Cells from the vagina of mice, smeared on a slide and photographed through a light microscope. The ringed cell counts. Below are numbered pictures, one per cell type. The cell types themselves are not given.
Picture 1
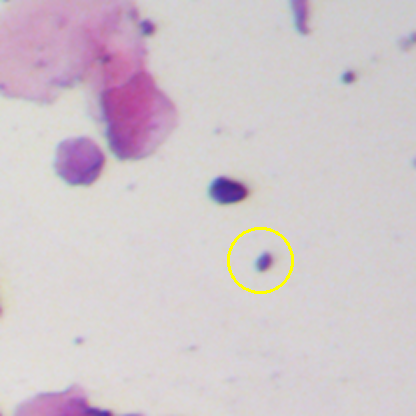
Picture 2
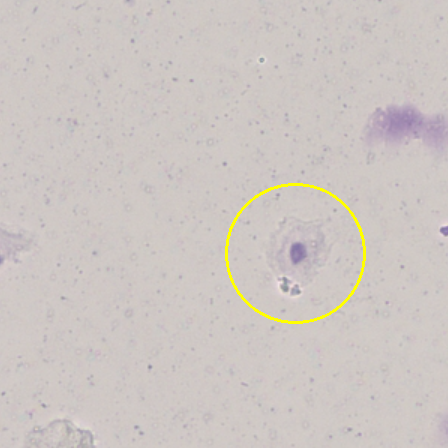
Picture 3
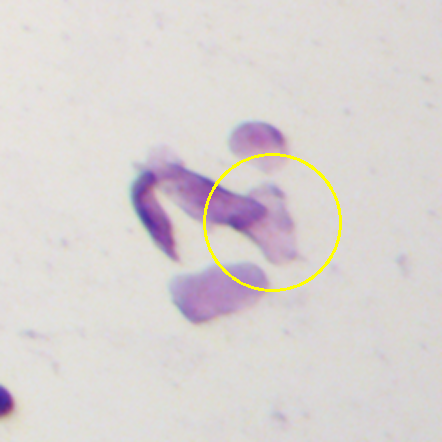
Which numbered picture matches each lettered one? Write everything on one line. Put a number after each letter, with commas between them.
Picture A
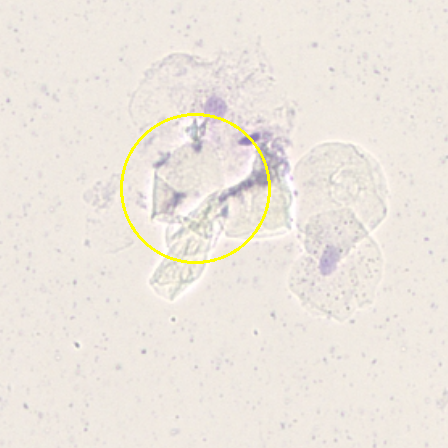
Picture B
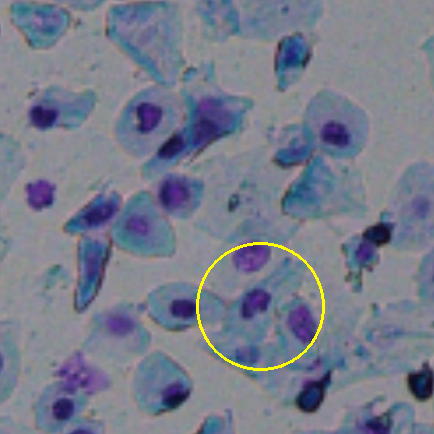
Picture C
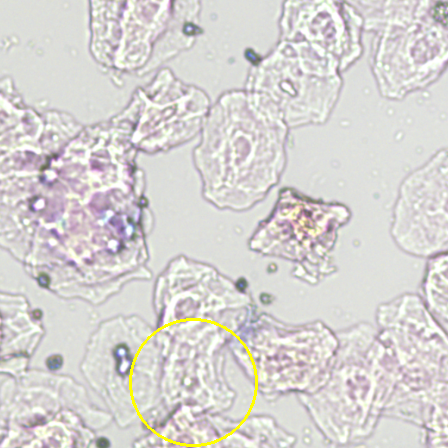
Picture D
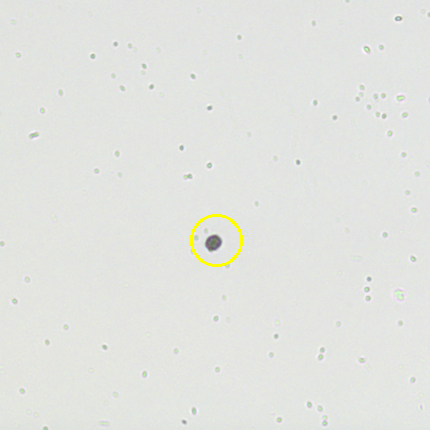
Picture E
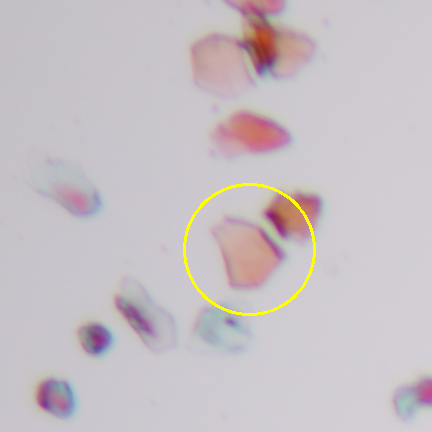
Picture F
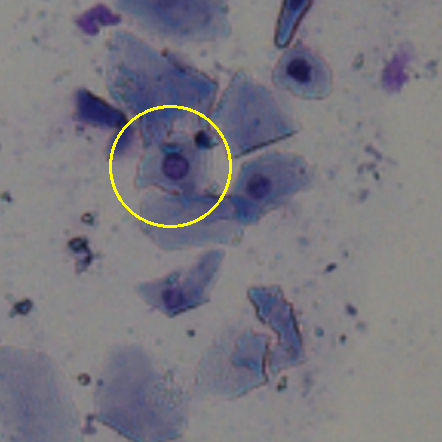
A 3, B 2, C 3, D 1, E 3, F 2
